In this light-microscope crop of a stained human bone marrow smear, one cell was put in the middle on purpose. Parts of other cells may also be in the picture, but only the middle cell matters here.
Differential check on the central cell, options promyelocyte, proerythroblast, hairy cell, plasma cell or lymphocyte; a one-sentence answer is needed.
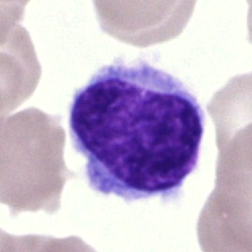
In this crop, the cell at the very middle is a hairy cell.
